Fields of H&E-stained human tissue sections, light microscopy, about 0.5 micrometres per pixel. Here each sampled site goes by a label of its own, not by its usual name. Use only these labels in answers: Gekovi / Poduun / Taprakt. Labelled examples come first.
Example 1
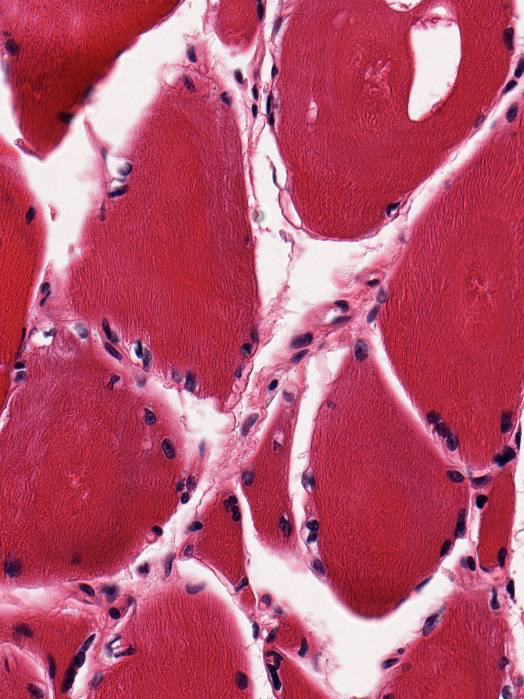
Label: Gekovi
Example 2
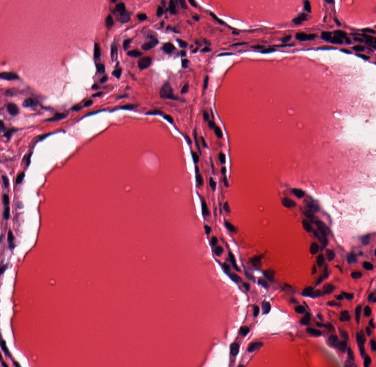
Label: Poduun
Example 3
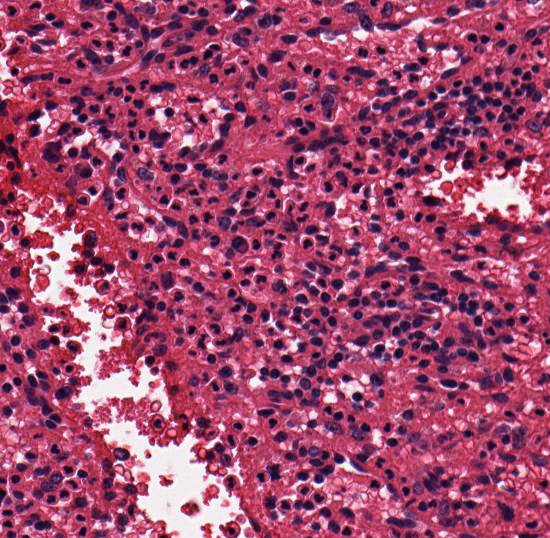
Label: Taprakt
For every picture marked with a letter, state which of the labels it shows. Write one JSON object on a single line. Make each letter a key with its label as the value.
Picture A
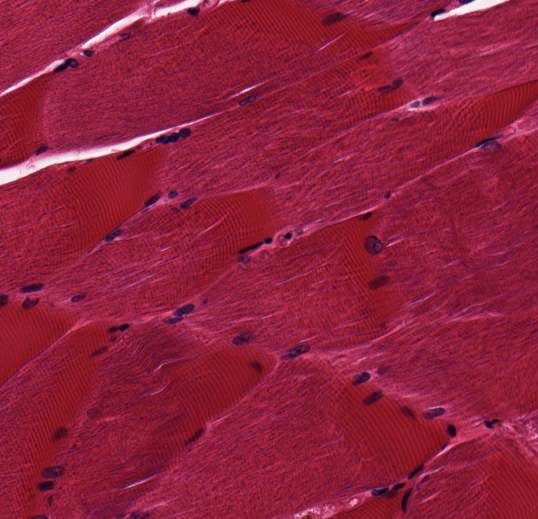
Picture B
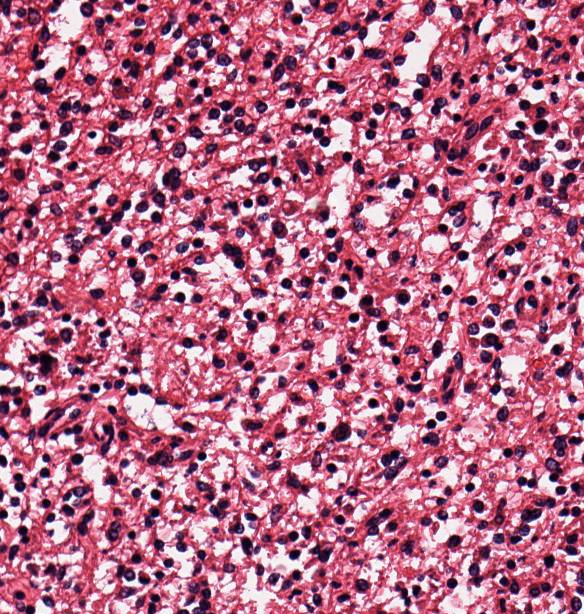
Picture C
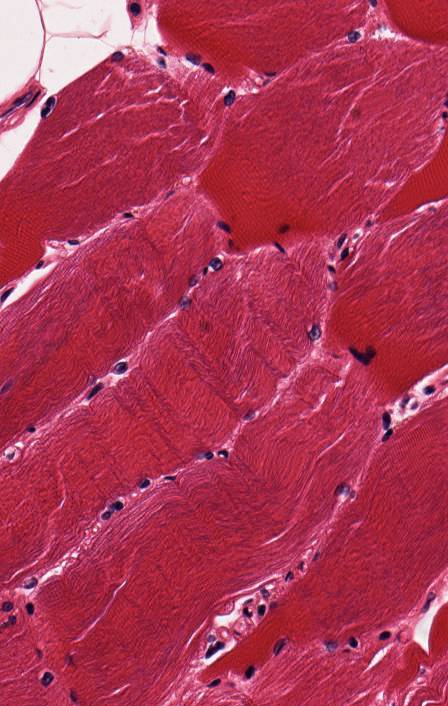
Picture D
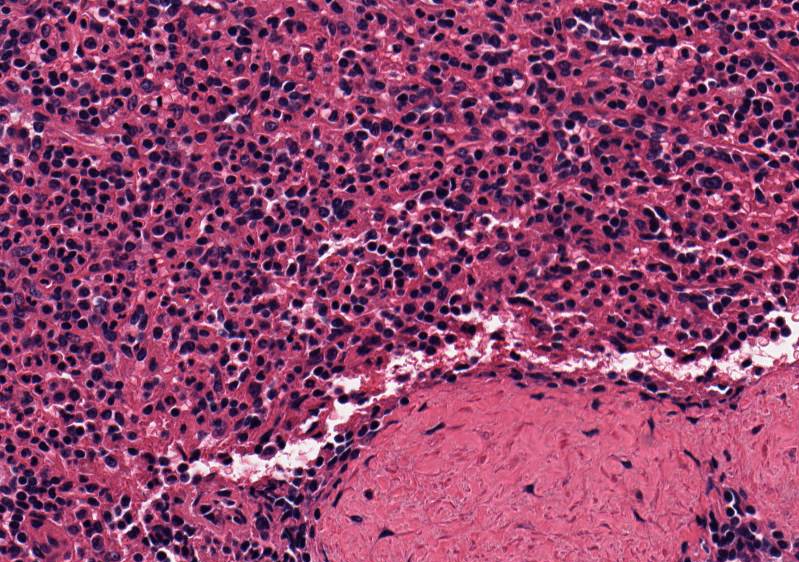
{"A": "Gekovi", "B": "Taprakt", "C": "Gekovi", "D": "Taprakt"}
